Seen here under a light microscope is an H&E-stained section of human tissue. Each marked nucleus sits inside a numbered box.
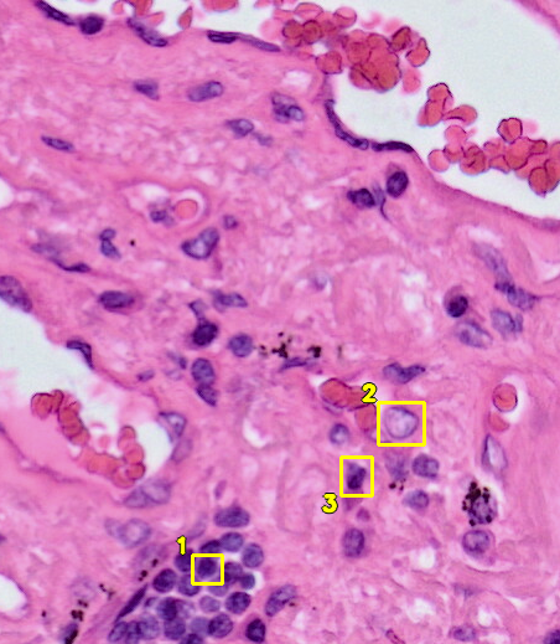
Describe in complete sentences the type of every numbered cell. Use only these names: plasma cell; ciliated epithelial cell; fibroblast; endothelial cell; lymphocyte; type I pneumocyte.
Cell 1 is a lymphocyte. Cell 2 is an endothelial cell. Cell 3 is a plasma cell.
